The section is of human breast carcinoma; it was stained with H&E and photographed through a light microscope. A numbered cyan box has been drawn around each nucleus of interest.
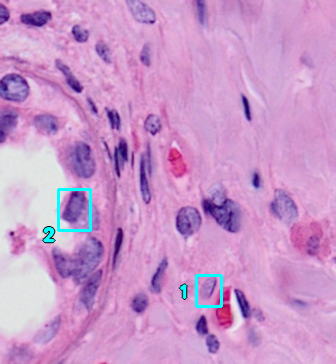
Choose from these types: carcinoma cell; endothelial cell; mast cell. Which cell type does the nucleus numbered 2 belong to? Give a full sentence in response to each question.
The cell numbered 2 represents a carcinoma cell.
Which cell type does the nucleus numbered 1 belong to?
That cell with number 1 is an endothelial cell.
